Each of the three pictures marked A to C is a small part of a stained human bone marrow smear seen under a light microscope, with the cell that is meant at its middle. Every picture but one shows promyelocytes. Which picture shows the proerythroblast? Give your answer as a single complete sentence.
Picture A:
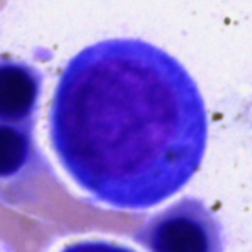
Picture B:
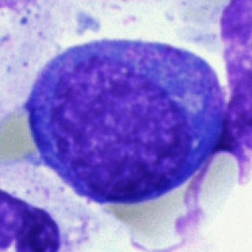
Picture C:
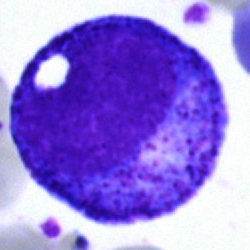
Picture A is the one that shows the proerythroblast.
